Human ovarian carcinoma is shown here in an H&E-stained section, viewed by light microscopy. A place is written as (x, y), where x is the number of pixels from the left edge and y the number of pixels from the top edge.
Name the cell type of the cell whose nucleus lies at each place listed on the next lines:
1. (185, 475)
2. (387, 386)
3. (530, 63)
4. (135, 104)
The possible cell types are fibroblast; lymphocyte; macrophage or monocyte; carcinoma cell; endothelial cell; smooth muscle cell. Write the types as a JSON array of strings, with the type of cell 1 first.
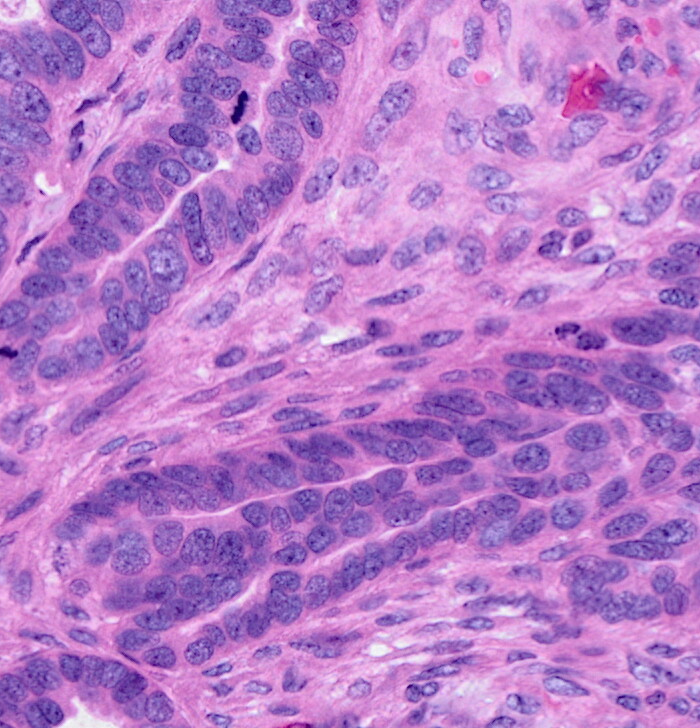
["carcinoma cell", "fibroblast", "fibroblast", "fibroblast"]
